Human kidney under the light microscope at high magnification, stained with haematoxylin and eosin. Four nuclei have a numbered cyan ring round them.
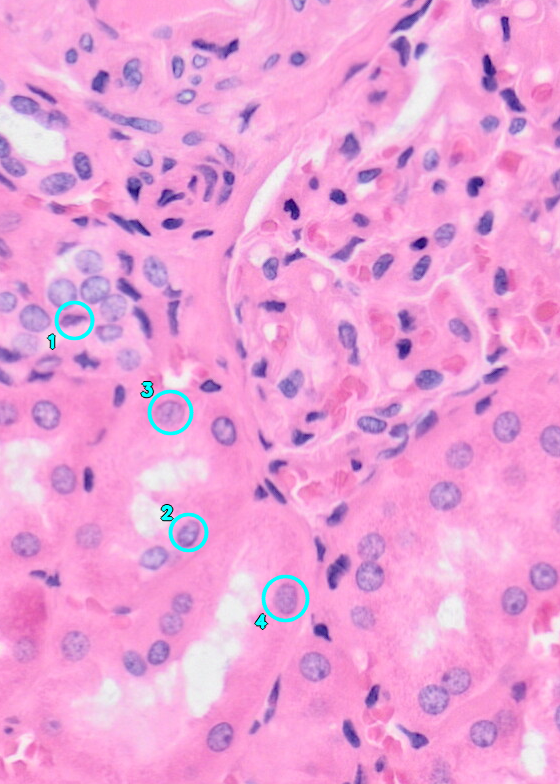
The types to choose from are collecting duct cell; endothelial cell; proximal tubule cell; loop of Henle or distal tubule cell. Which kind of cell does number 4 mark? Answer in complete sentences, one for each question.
The correct answer for cell 4 is a proximal tubule cell.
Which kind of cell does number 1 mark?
To a collecting duct cell belongs the nucleus marked 1.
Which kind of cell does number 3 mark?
Heads up, the cell numbered 3 is a proximal tubule cell.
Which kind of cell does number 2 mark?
The nucleus marked 2 is the nucleus of a proximal tubule cell.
